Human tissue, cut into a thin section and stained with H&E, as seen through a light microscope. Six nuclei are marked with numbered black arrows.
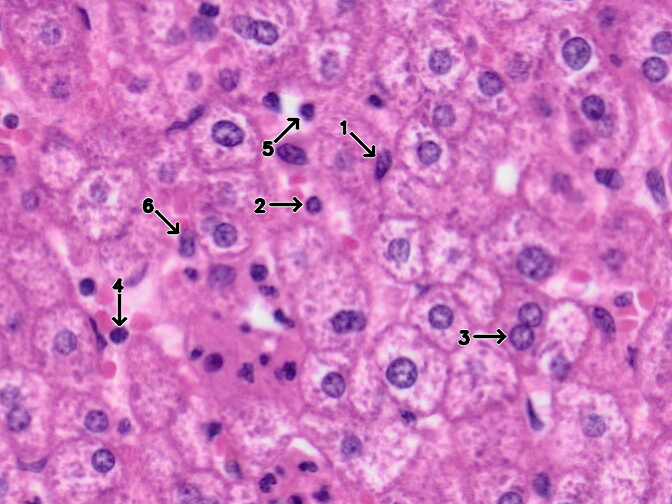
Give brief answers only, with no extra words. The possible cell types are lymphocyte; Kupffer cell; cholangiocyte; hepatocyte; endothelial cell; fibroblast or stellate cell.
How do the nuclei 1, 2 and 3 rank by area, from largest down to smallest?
3, 1, 2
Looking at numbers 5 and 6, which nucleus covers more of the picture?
6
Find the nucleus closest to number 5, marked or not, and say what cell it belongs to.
endothelial cell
